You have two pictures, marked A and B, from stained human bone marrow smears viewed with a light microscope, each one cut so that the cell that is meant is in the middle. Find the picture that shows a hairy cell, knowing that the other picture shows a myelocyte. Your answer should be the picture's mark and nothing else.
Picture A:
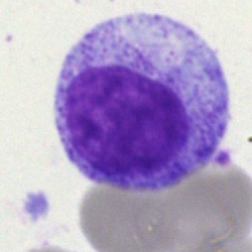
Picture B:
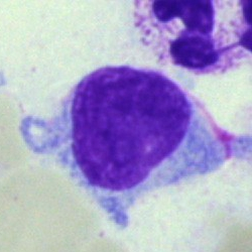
B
